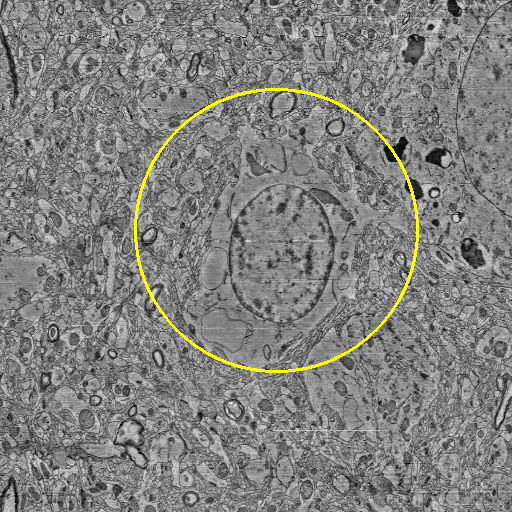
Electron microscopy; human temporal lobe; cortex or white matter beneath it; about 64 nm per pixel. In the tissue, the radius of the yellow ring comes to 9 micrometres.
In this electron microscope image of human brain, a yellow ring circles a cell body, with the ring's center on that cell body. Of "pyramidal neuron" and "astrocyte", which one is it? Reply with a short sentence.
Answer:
It is an astrocyte at the center of the ring.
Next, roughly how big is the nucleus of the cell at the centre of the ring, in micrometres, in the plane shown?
About 9 by 7 micrometers, in this plane.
